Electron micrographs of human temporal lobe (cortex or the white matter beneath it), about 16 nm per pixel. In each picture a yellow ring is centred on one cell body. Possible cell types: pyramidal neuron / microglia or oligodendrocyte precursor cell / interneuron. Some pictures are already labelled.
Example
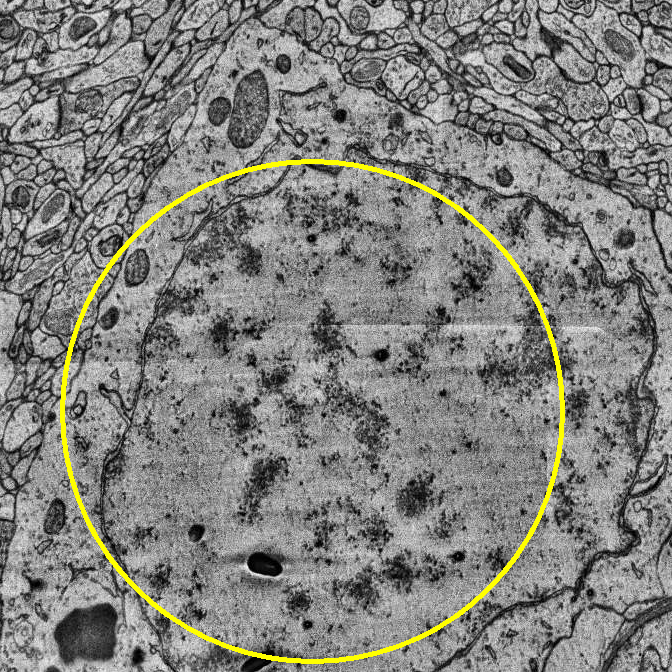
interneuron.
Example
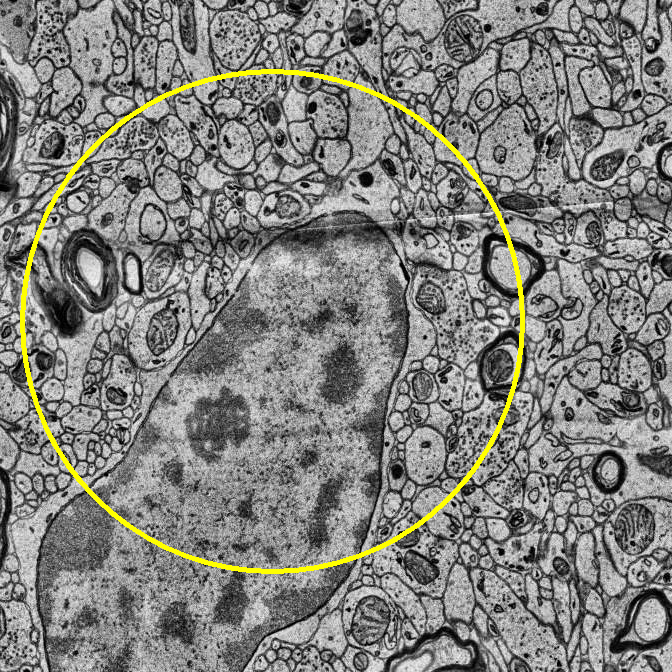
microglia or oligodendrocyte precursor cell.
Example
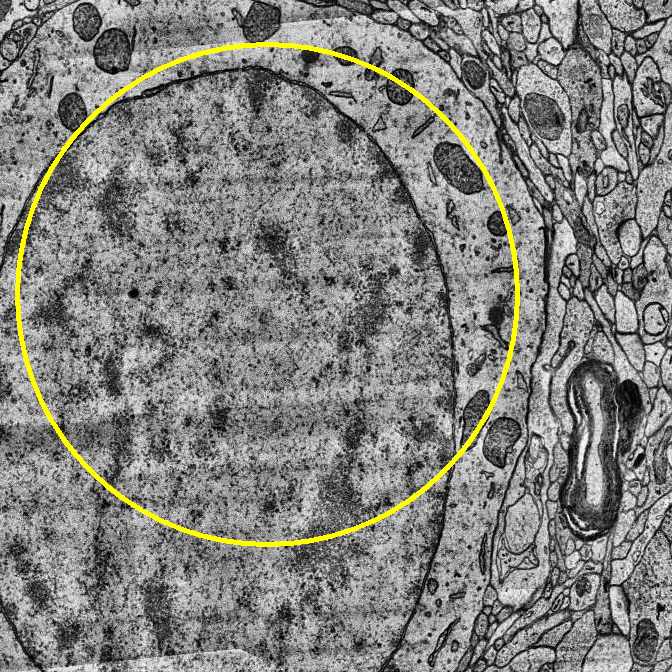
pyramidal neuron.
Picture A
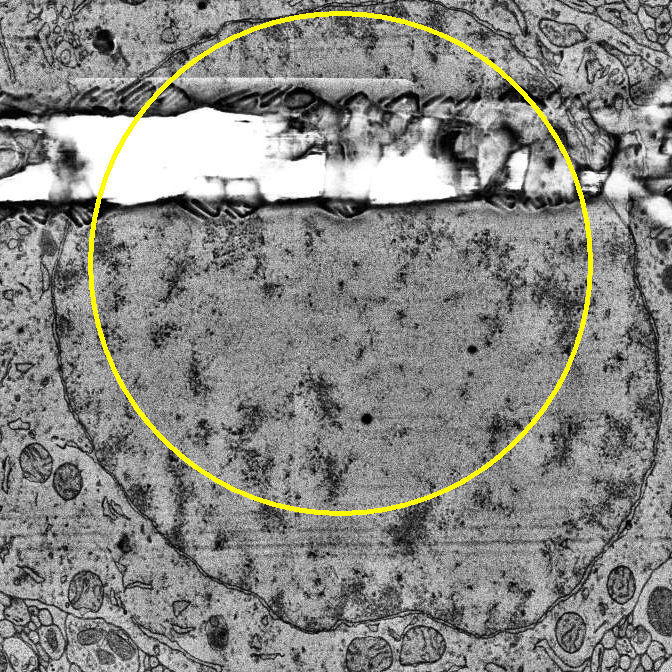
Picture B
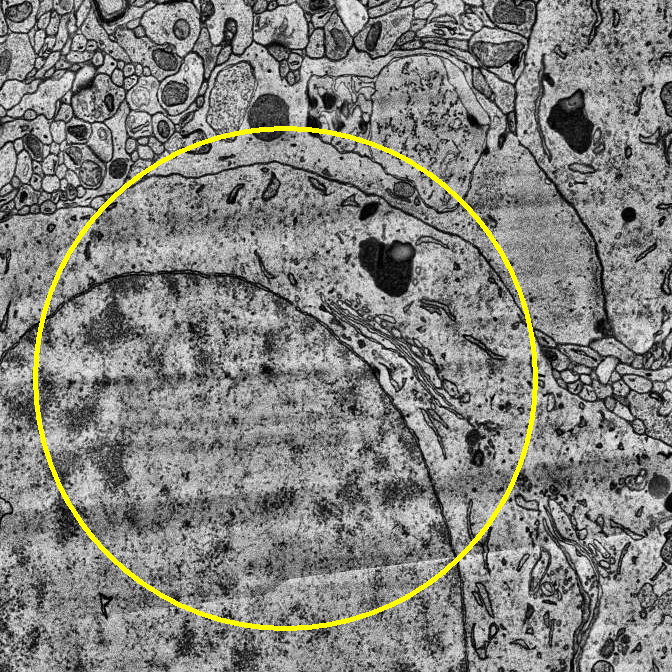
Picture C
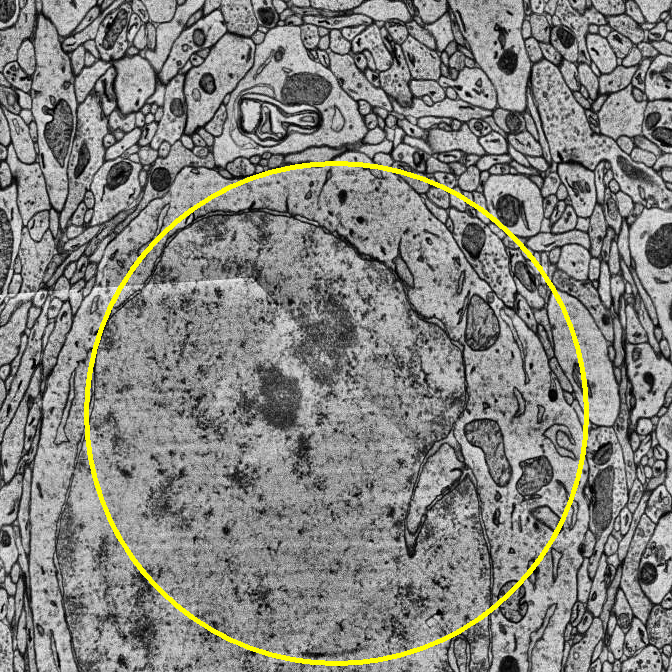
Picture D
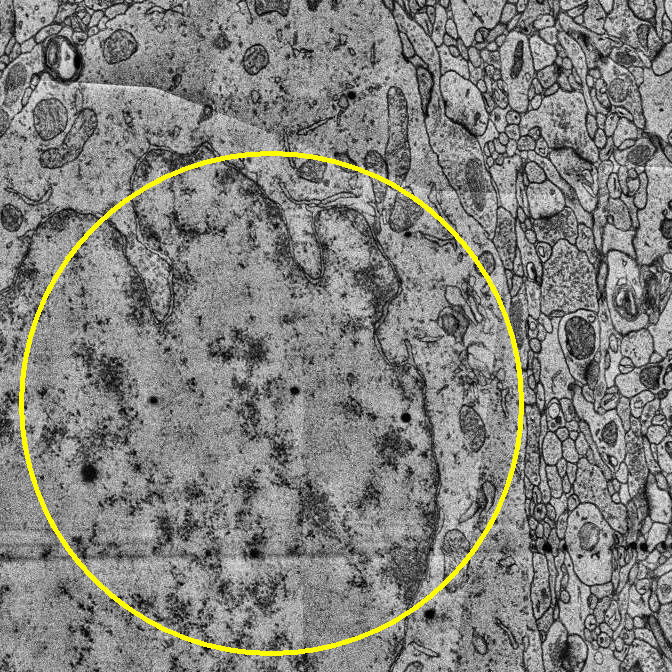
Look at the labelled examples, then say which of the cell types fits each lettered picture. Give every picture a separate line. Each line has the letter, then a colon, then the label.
A: pyramidal neuron.
B: pyramidal neuron.
C: interneuron.
D: interneuron.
